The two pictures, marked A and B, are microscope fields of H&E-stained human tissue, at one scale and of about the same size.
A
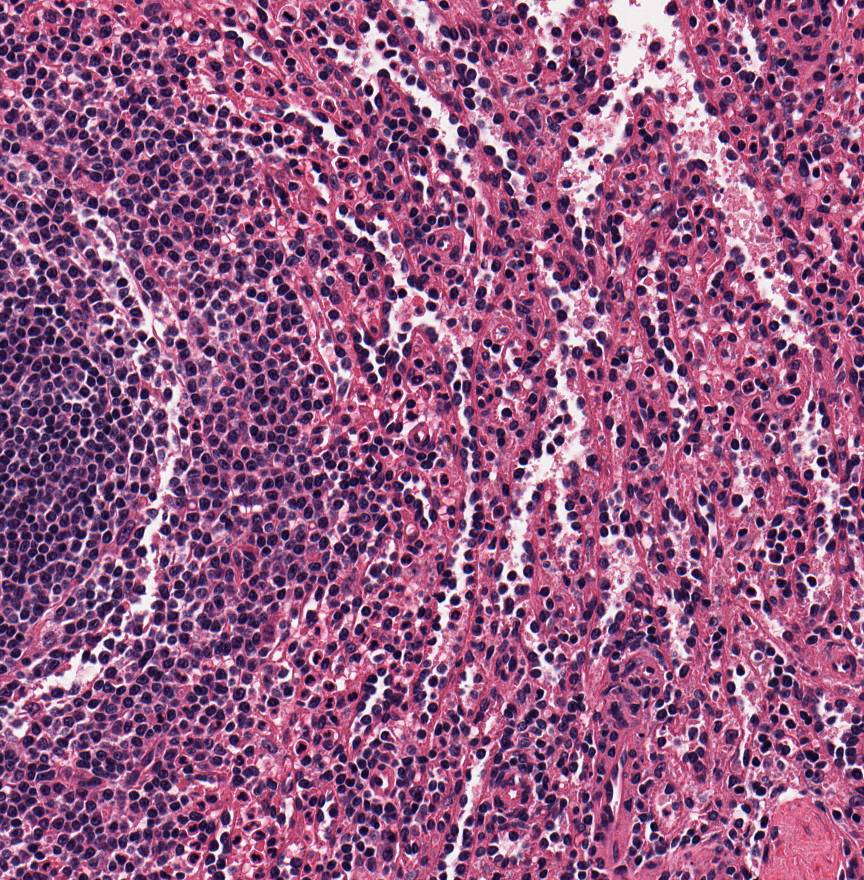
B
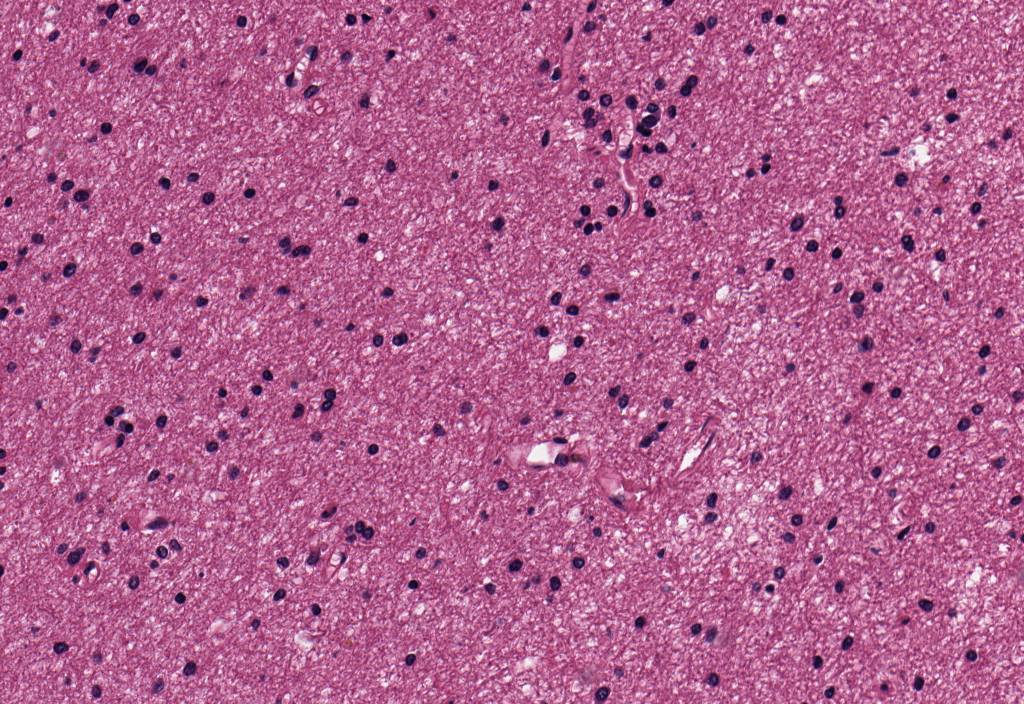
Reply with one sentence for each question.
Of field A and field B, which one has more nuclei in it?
More nuclei lie in field A than in field B.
